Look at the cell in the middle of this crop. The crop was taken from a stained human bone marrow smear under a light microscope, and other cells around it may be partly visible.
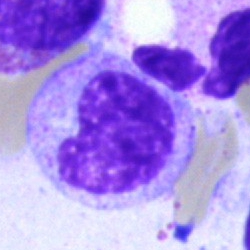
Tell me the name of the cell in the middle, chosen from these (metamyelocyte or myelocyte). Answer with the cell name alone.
metamyelocyte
